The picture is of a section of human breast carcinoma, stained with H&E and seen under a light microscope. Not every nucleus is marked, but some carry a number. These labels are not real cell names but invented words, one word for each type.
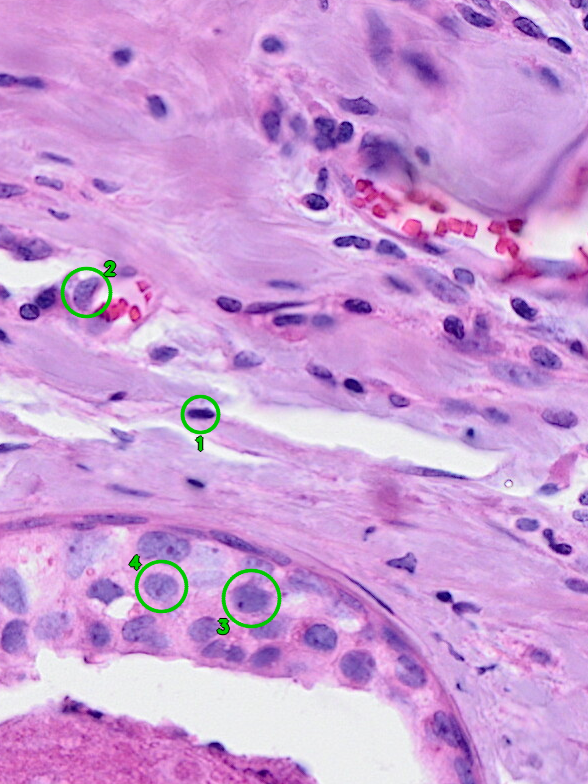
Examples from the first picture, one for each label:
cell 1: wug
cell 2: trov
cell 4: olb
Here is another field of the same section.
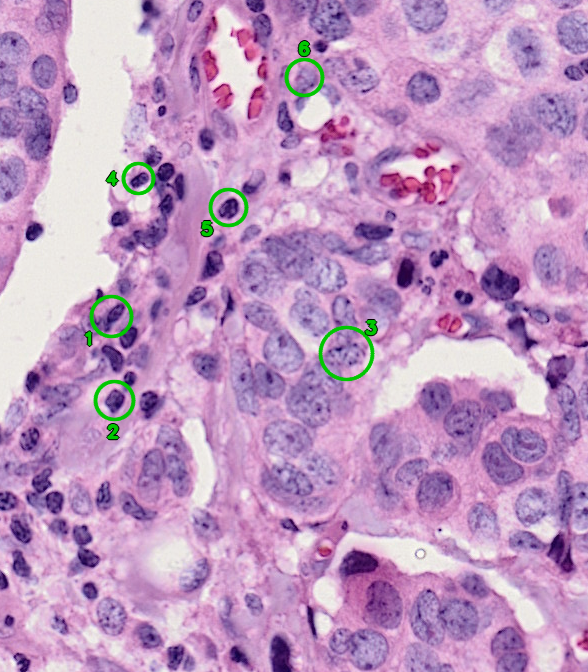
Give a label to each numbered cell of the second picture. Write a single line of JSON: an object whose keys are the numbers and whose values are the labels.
{"1": "wug", "2": "wug", "3": "olb", "4": "wug", "5": "wug", "6": "trov"}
